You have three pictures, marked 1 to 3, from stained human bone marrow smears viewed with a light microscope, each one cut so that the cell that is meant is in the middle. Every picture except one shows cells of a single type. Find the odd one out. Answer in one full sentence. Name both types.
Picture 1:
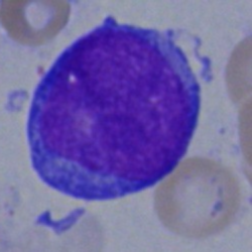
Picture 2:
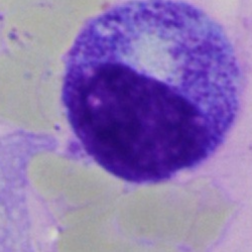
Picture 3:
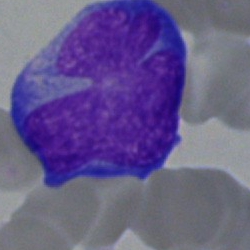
The others show blasts, but picture 2 shows a promyelocyte.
